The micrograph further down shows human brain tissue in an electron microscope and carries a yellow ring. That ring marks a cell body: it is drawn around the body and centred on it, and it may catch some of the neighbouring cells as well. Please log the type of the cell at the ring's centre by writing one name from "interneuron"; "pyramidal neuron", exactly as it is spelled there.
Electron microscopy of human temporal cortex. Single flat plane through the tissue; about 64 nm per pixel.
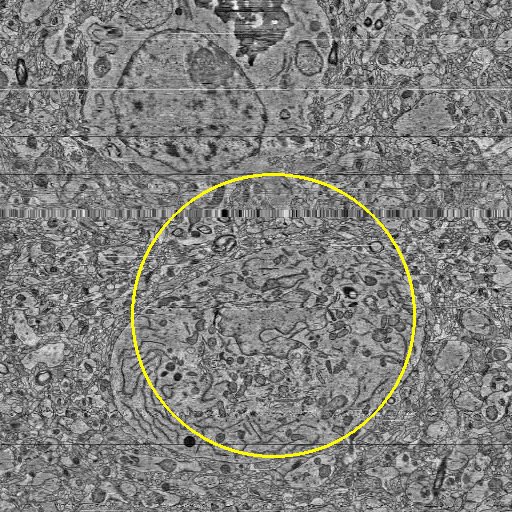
interneuron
